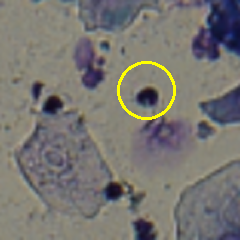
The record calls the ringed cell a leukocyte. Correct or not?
Correct; it is a leukocyte.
